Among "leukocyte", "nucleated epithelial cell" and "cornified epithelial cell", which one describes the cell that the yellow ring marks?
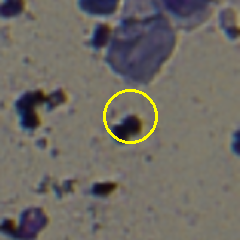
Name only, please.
leukocyte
